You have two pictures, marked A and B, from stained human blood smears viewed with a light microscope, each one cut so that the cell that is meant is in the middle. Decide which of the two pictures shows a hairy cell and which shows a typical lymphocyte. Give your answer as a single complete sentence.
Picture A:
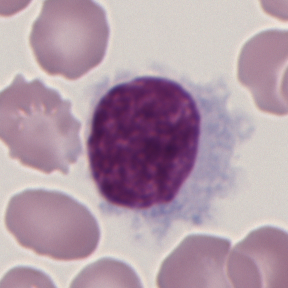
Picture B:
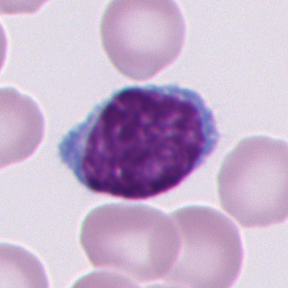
It is picture A that shows a hairy cell, and picture B that shows a typical lymphocyte.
